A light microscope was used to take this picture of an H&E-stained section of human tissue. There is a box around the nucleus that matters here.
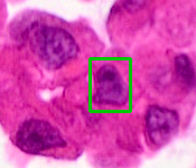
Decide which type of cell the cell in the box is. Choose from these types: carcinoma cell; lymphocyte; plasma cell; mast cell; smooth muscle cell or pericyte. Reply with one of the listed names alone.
carcinoma cell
